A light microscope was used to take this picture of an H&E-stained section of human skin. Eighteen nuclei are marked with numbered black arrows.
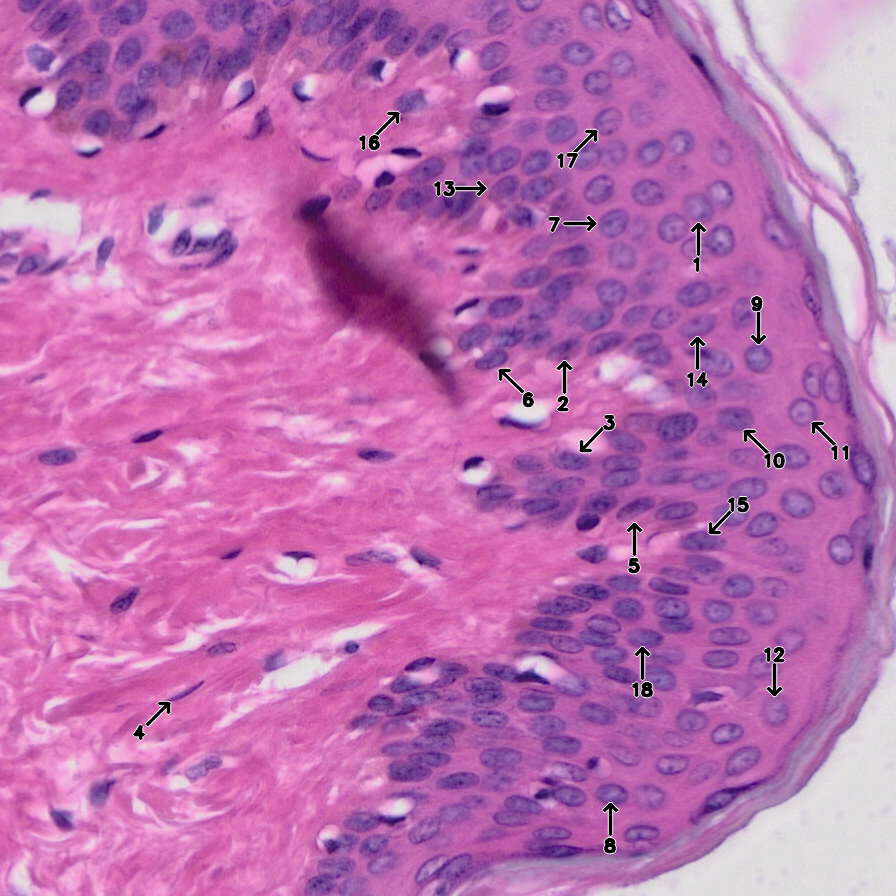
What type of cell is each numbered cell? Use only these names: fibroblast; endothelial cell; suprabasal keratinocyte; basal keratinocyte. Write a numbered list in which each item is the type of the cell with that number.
1. suprabasal keratinocyte
2. basal keratinocyte
3. basal keratinocyte
4. fibroblast
5. basal keratinocyte
6. basal keratinocyte
7. suprabasal keratinocyte
8. suprabasal keratinocyte
9. suprabasal keratinocyte
10. suprabasal keratinocyte
11. suprabasal keratinocyte
12. suprabasal keratinocyte
13. basal keratinocyte
14. suprabasal keratinocyte
15. basal keratinocyte
16. fibroblast
17. suprabasal keratinocyte
18. suprabasal keratinocyte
